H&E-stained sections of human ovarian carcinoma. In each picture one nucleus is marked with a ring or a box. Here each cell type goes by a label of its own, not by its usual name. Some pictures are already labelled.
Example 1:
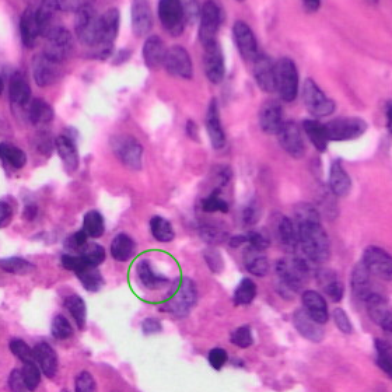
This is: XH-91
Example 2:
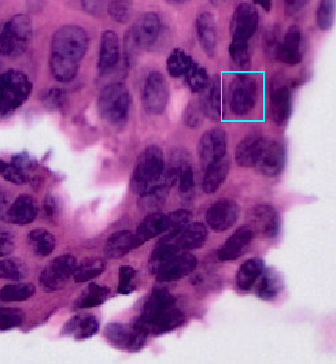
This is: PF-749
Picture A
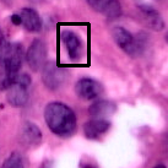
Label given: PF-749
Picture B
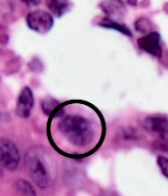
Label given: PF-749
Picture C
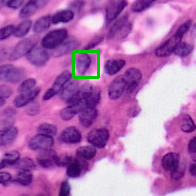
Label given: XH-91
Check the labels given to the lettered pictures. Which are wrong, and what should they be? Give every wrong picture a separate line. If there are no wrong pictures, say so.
A is labelled PF-749; correct label: XH-91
